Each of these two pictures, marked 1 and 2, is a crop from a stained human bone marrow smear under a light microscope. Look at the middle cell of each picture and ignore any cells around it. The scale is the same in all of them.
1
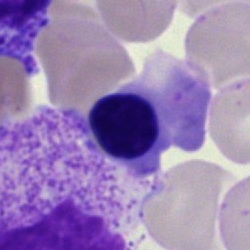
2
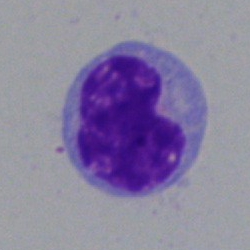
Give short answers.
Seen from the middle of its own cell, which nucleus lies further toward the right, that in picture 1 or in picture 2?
2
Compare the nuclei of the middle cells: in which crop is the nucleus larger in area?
2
